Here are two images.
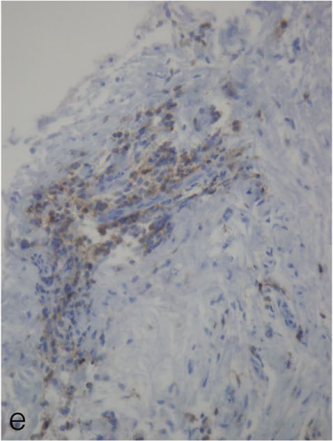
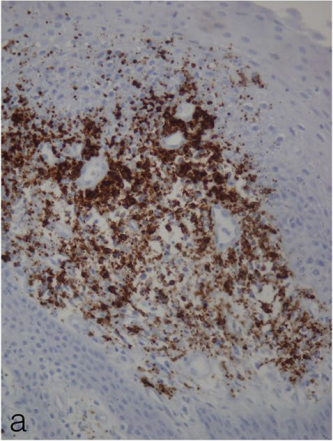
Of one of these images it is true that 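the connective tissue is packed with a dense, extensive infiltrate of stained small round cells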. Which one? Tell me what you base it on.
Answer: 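The second image. First image: a limited band of brown-rimmed small cells in the connective tissue. Second image: a large, dense mass of dark brown small cells filling most of the connective tissue core.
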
